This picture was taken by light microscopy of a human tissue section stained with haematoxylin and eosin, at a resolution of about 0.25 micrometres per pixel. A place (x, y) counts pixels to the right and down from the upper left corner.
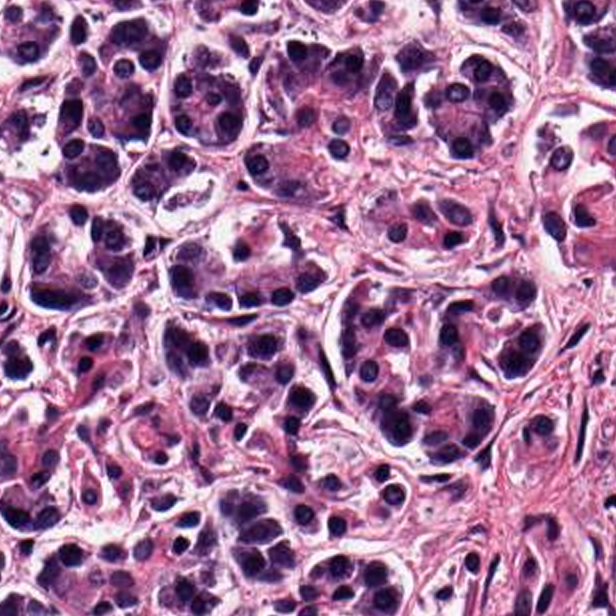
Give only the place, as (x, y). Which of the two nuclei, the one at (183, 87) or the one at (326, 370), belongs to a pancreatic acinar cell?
(183, 87)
